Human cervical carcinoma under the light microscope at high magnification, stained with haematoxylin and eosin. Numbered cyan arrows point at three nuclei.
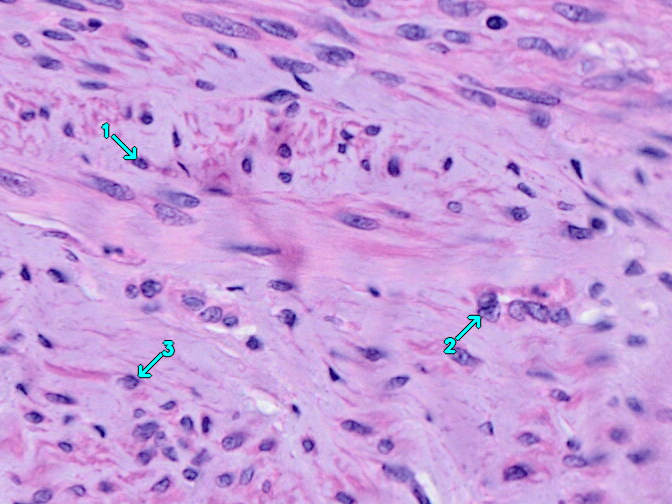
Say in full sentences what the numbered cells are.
Cells 1 and 3 are smooth muscle cells. Cell 2 is an endothelial cell.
